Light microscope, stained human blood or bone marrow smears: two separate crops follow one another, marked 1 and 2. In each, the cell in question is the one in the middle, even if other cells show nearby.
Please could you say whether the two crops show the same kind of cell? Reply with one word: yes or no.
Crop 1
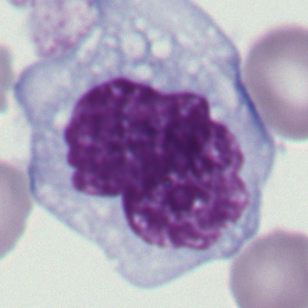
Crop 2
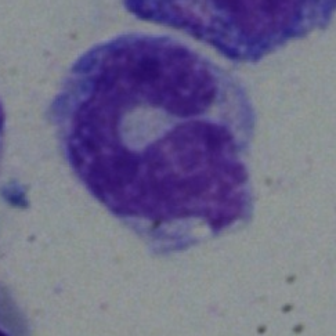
yes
